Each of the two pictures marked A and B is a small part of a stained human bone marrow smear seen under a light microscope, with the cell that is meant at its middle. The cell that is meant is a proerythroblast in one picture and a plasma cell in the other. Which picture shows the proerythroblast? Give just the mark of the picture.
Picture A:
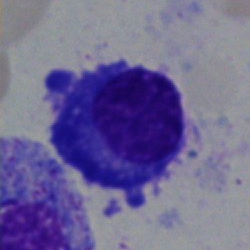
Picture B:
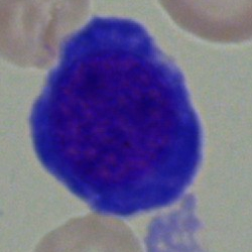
B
